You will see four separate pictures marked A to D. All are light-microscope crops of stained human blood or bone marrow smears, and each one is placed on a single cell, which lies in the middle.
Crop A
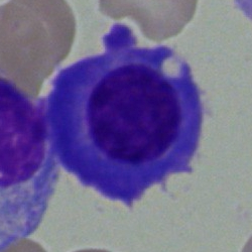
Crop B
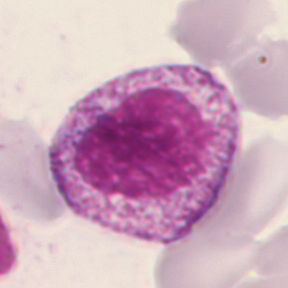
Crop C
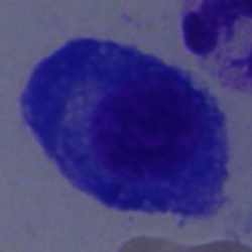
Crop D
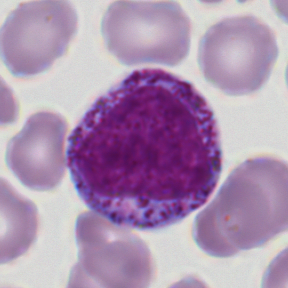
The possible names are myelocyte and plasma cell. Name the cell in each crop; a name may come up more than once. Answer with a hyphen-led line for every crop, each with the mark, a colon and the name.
- A: plasma cell
- B: myelocyte
- C: plasma cell
- D: myelocyte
